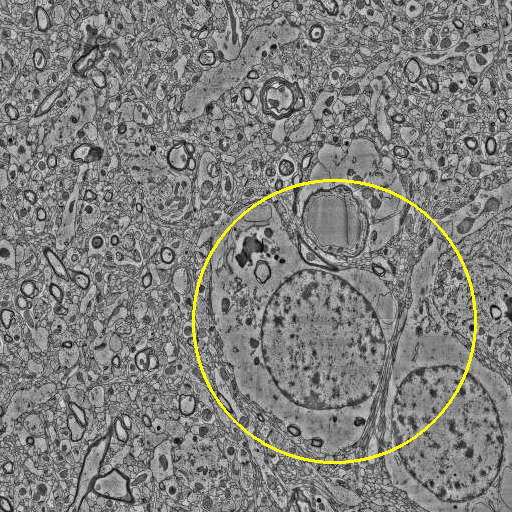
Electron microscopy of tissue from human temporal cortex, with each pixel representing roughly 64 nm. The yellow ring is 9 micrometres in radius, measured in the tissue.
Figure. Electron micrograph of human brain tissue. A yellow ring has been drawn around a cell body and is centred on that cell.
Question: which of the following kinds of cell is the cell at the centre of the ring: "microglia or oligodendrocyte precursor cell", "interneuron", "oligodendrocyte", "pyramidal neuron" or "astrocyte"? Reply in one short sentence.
The cell at the centre of the ring is an astrocyte.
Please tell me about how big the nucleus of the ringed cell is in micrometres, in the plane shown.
Approximately 9 micrometres long and 8 micrometres wide, in this plane.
